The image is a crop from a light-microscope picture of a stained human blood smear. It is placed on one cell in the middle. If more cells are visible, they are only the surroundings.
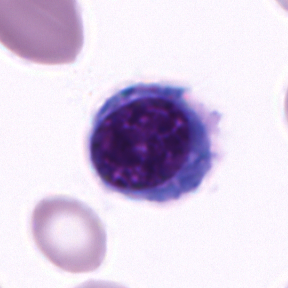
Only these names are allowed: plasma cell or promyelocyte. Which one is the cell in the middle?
plasma cell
